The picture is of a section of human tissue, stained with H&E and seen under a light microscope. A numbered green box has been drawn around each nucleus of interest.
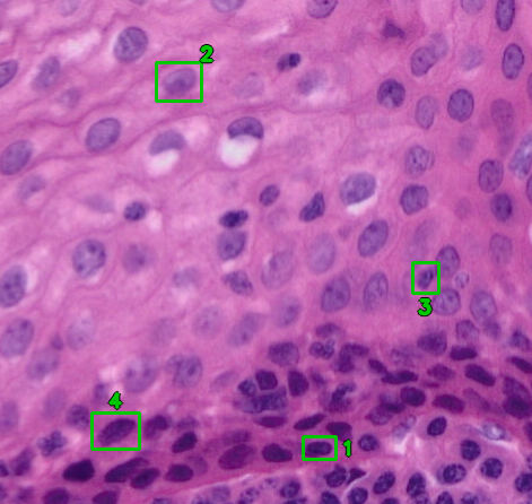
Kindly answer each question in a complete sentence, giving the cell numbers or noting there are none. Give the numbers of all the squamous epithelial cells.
The cells referred to by numbers 2, 3 and 4 are squamous epithelial cells.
